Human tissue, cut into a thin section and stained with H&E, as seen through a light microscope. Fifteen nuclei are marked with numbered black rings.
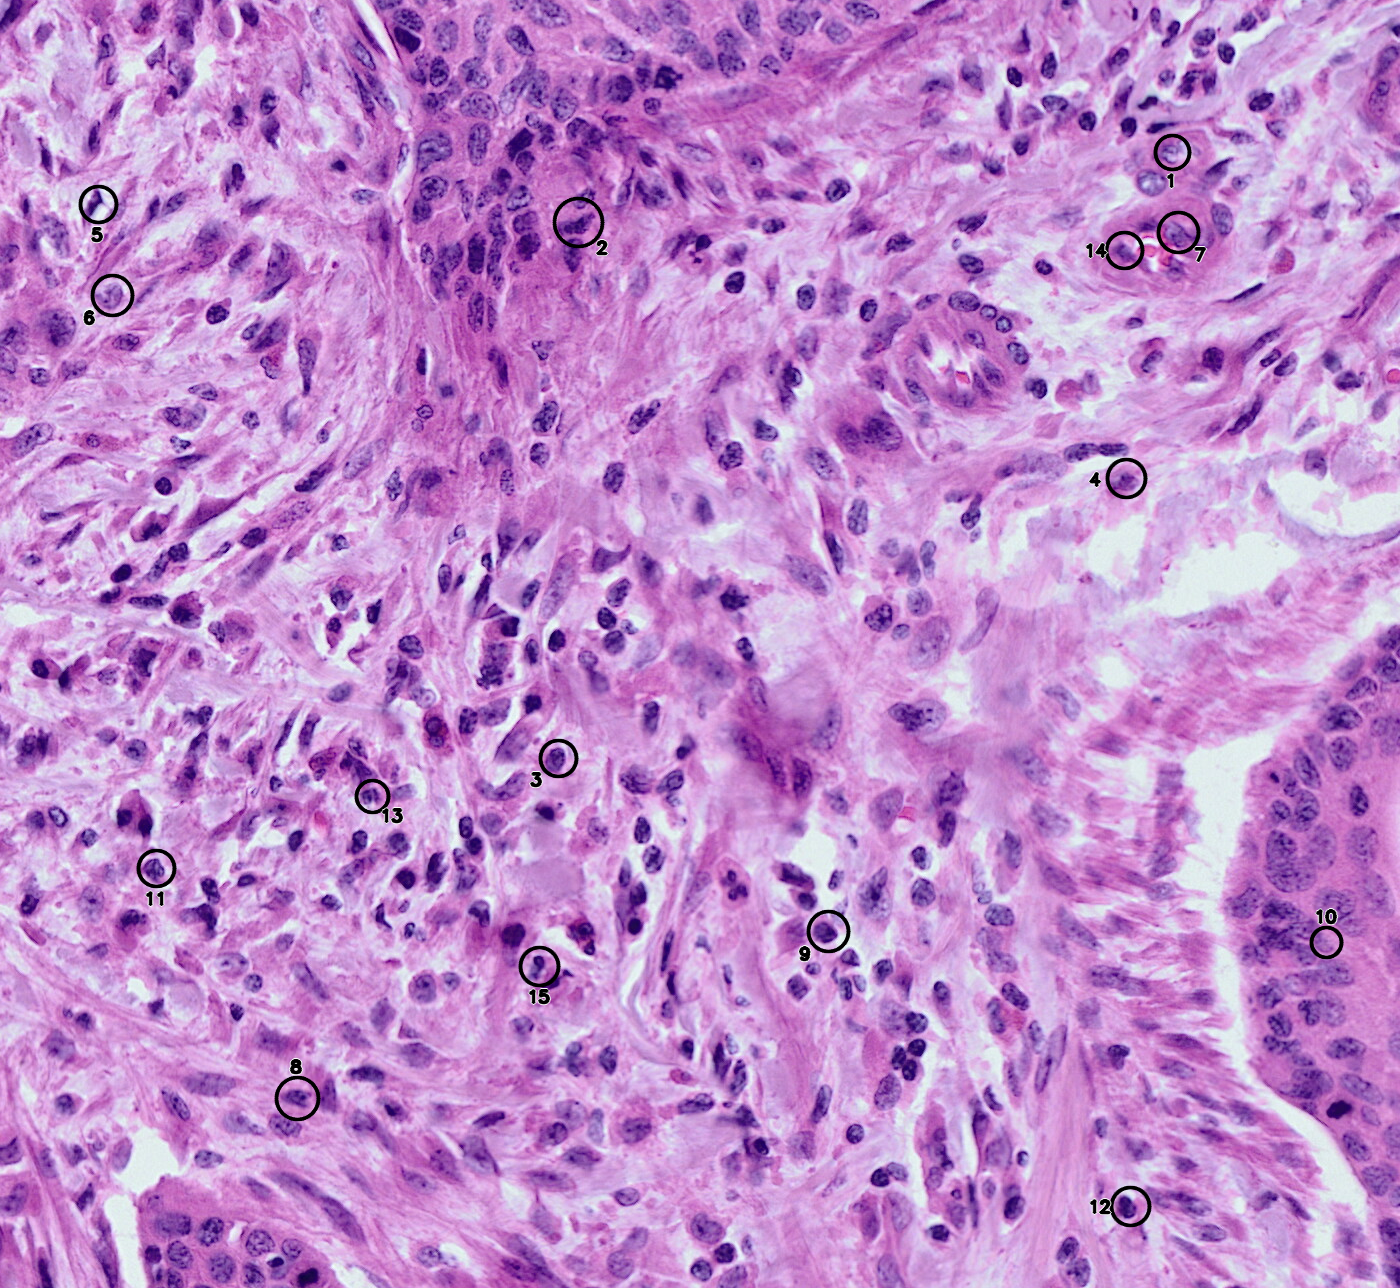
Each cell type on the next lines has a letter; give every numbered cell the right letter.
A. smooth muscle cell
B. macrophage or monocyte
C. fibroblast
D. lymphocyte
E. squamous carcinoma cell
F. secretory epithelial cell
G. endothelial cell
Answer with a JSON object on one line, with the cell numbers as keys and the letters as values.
{"1": "G", "2": "E", "3": "D", "4": "G", "5": "C", "6": "C", "7": "G", "8": "D", "9": "D", "10": "E", "11": "D", "12": "D", "13": "D", "14": "G", "15": "D"}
